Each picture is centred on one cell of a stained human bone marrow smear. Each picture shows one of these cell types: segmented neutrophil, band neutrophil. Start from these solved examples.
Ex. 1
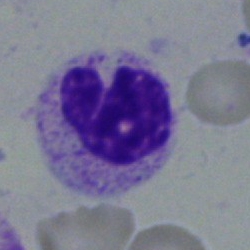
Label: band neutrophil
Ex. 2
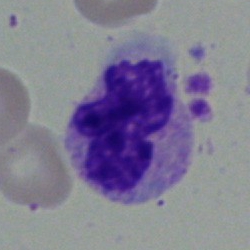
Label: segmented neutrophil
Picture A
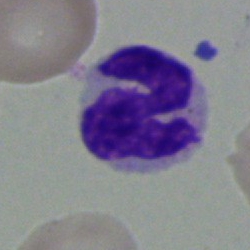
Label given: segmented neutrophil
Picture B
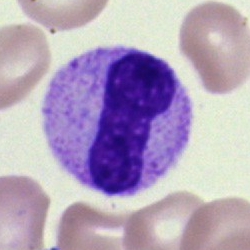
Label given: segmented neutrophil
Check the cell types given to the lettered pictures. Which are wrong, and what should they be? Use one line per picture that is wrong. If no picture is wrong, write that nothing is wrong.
B should be band neutrophil, not segmented neutrophil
